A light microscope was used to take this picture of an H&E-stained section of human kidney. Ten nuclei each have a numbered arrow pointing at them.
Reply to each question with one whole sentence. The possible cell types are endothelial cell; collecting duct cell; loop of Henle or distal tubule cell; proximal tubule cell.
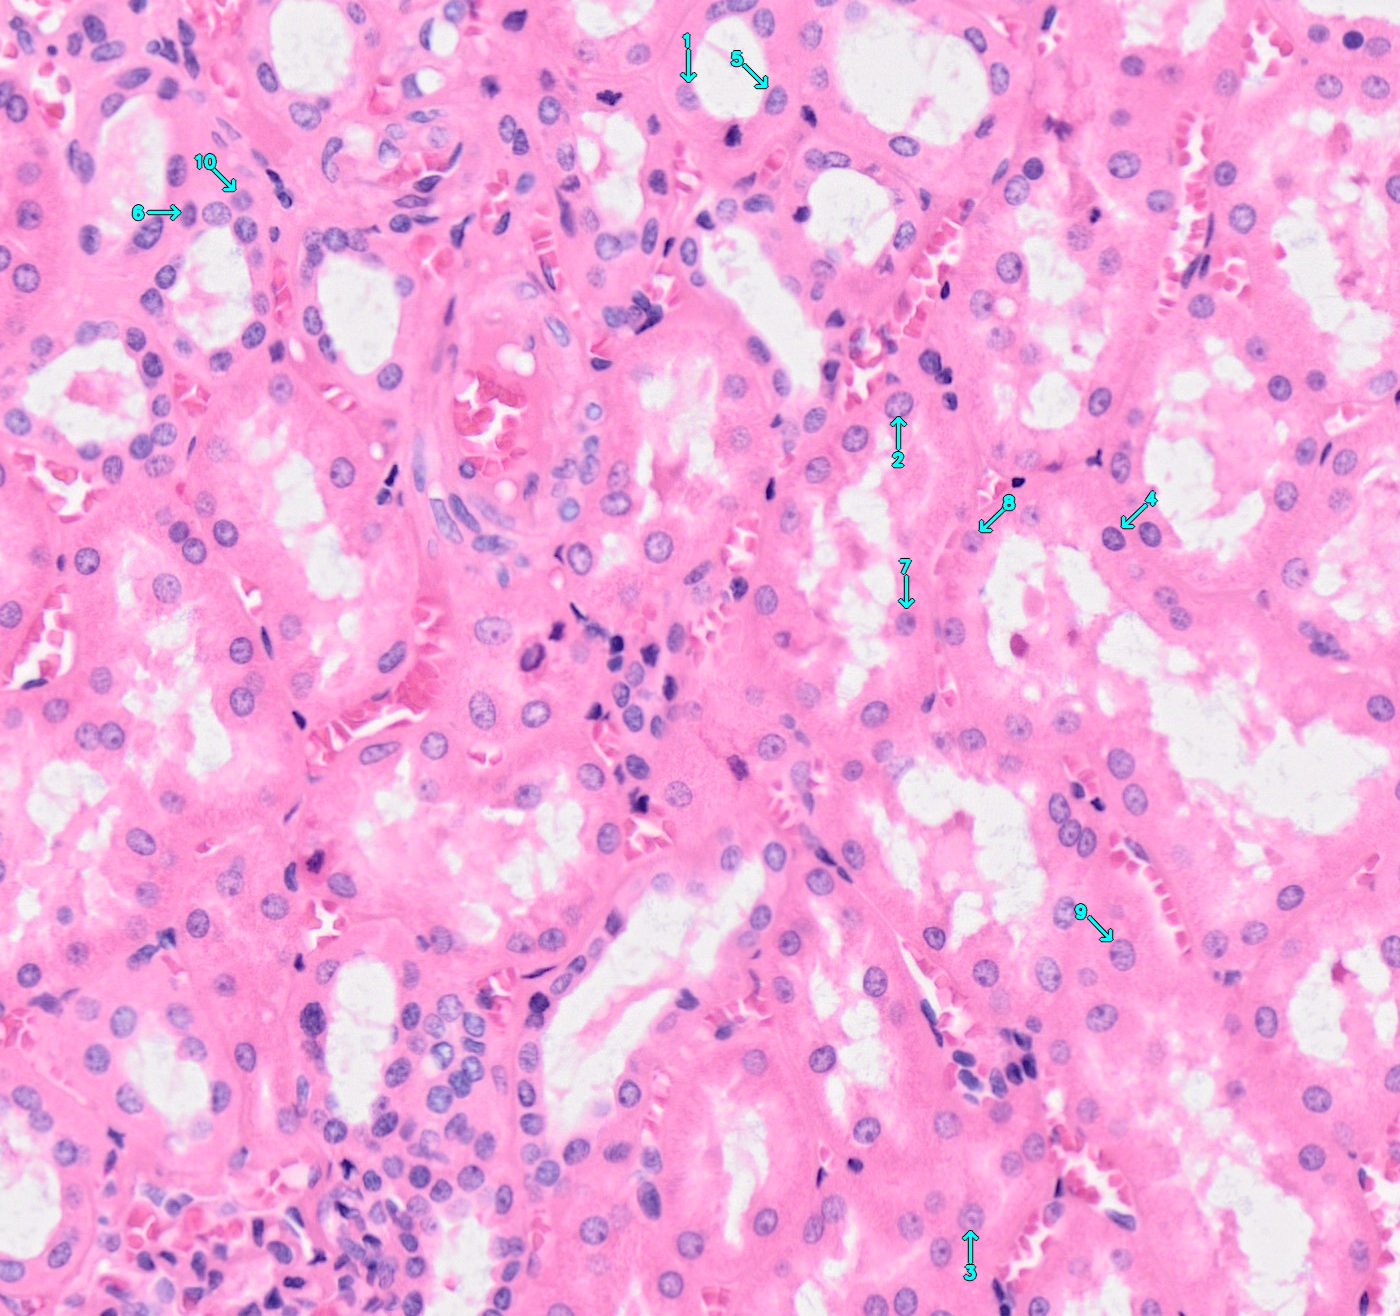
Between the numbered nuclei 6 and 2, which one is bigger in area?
Nucleus 2 covers more area, about 2 times as much as nucleus 6.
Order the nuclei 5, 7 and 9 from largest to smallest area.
The nuclei rank 9, 5, 7, from largest to smallest.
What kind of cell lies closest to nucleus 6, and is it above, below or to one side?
A collecting duct cell lies closest, to the right of nucleus 6.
